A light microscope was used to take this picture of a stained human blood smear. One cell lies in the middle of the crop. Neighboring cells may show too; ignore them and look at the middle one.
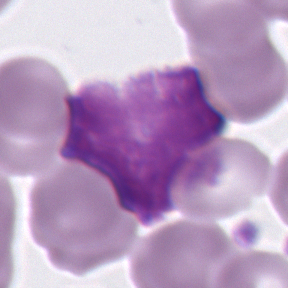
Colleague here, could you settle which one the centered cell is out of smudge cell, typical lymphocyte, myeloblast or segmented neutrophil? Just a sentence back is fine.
Answering briefly, the cell in the middle is a smudge cell.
